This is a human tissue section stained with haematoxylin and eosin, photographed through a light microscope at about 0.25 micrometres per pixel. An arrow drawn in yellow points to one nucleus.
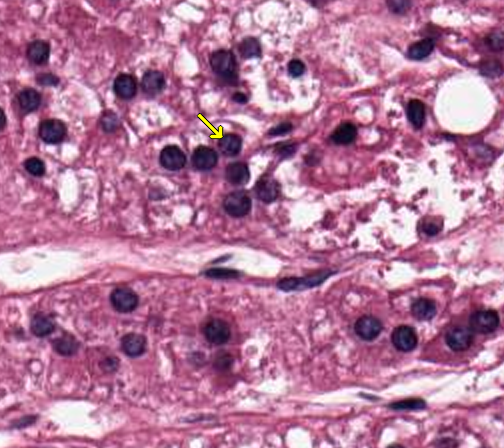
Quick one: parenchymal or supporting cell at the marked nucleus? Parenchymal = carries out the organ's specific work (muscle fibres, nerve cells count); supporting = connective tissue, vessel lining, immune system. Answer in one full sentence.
Seen here, the marked nucleus belongs to a parenchymal cell, namely an adrenal cortical cell.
